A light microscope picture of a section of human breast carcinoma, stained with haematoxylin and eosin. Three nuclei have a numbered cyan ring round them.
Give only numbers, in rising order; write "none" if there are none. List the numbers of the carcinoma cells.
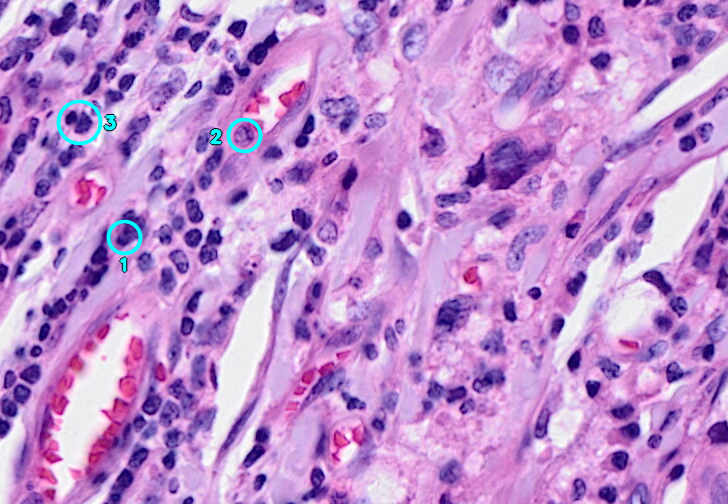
none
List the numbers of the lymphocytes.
1, 3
